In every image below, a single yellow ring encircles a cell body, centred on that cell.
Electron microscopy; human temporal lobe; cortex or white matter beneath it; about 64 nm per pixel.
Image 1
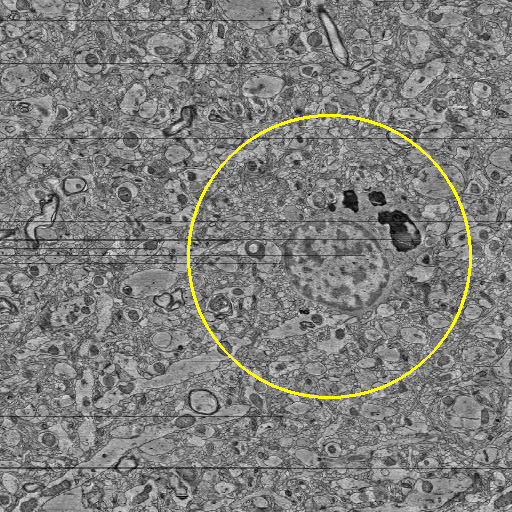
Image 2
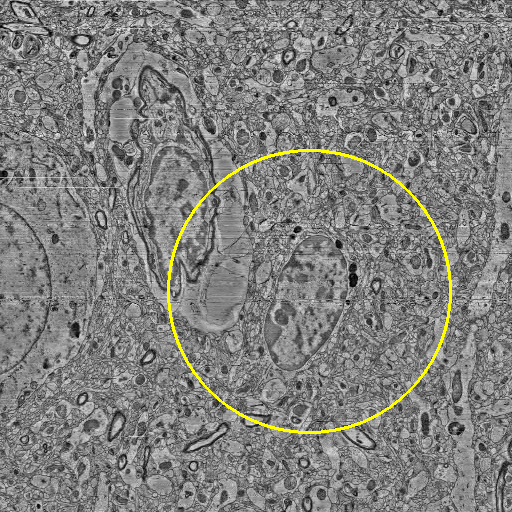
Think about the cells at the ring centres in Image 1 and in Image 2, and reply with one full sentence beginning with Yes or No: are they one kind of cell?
No, the cells centred in the rings of Image 1 and Image 2 are two kinds of cell.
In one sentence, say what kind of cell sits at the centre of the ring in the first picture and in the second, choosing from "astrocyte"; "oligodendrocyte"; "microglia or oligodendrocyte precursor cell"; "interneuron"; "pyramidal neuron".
The first picture's ringed cell is an oligodendrocyte, while the second picture's is a microglial cell or oligodendrocyte precursor cell.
